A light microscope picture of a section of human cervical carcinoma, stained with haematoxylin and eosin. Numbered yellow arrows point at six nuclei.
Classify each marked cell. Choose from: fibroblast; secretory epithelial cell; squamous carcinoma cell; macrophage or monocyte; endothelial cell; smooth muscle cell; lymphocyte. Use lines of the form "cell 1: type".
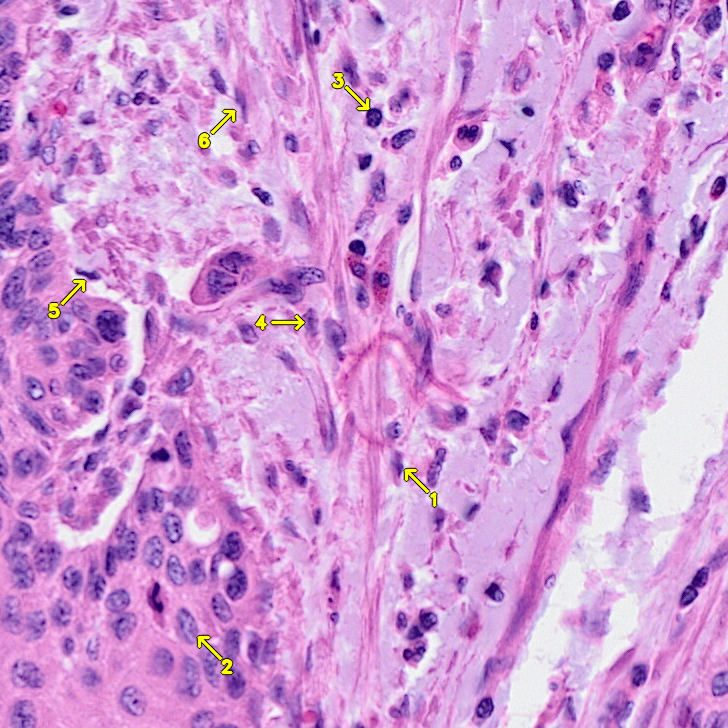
cell 1: fibroblast
cell 2: squamous carcinoma cell
cell 3: lymphocyte
cell 4: fibroblast
cell 5: fibroblast
cell 6: fibroblast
